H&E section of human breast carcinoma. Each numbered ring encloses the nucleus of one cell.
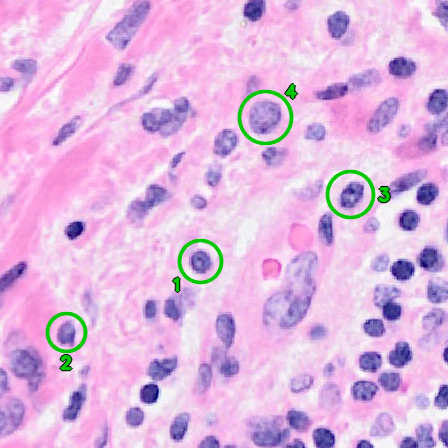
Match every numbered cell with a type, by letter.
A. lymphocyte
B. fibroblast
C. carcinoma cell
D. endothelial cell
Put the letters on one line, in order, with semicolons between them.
A; A; A; C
